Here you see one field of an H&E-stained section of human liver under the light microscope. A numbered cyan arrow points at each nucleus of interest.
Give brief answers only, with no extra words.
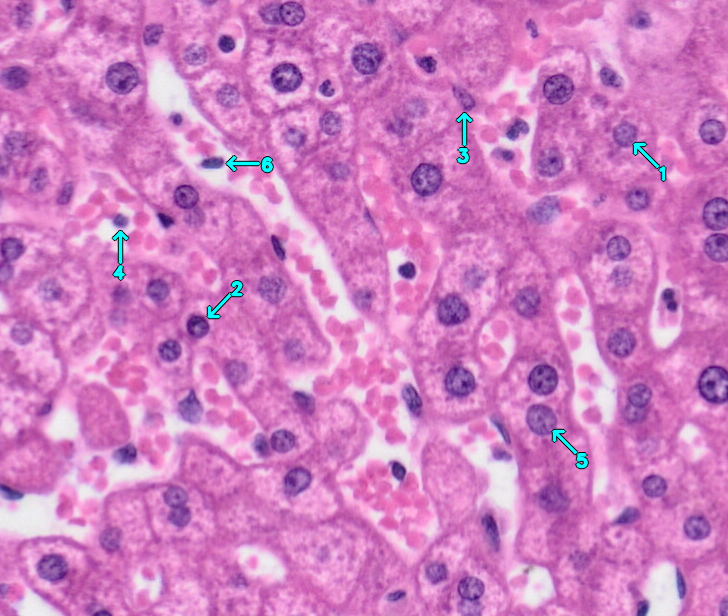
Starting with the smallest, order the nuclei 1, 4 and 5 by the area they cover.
4, 1, 5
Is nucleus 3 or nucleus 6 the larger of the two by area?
3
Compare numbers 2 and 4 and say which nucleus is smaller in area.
4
